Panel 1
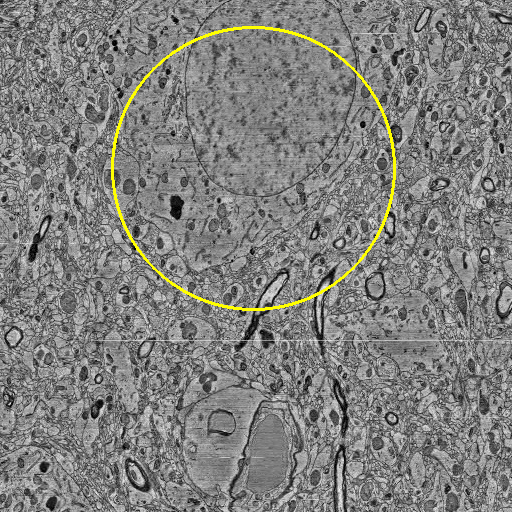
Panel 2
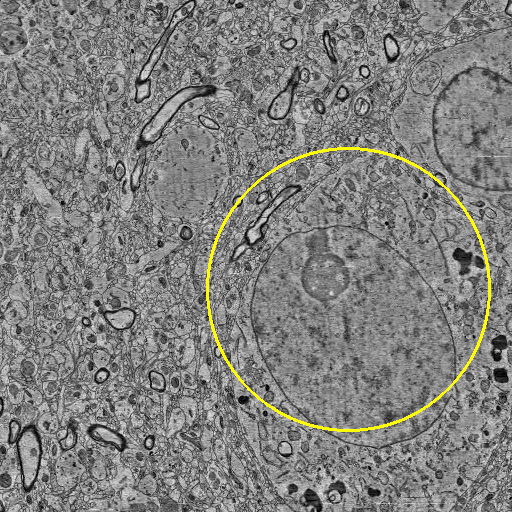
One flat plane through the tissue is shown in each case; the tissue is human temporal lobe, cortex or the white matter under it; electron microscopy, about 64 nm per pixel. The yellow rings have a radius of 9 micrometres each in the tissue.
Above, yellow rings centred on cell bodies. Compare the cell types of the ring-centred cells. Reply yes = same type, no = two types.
yes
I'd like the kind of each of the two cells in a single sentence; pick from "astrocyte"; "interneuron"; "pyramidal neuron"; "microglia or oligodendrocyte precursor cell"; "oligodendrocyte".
Both the first and the second picture show a pyramidal neuron in the ring.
